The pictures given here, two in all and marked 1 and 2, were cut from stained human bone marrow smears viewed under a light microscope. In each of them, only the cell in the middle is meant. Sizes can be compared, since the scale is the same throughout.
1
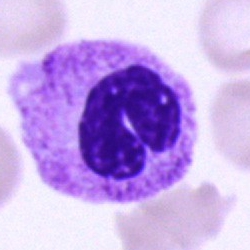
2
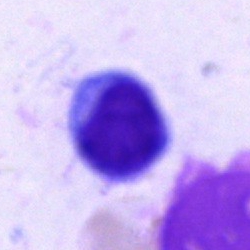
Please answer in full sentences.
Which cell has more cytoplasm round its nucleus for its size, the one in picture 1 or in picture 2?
It is the cell in picture 1 that is filled less by its nucleus.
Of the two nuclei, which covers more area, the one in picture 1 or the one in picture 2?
Picture 1 shows the larger nucleus; it covers about 1.5 times the area of the nucleus in picture 2.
